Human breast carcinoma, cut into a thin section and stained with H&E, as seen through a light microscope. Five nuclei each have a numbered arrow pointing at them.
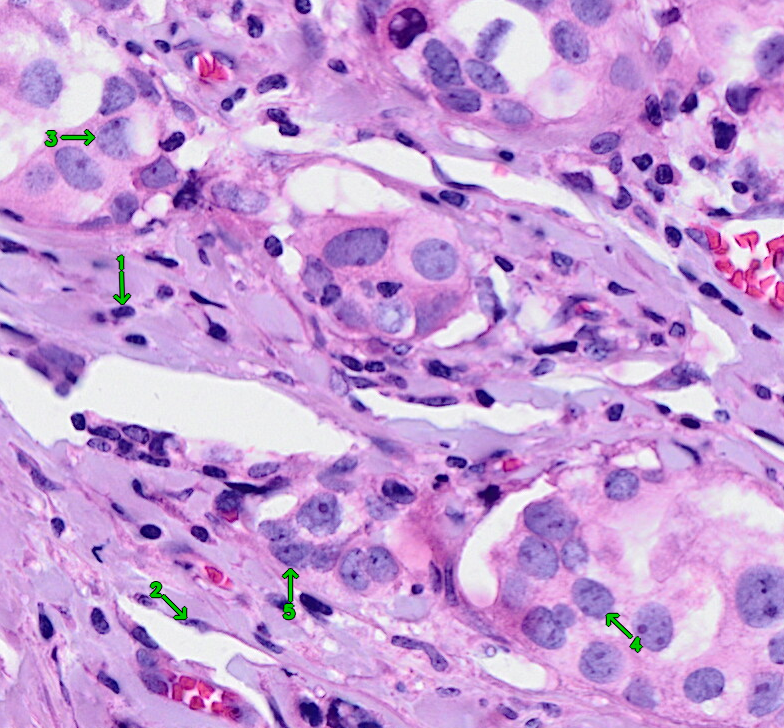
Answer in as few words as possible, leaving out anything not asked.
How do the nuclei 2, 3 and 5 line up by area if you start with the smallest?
2, 5, 3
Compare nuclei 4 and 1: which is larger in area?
4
